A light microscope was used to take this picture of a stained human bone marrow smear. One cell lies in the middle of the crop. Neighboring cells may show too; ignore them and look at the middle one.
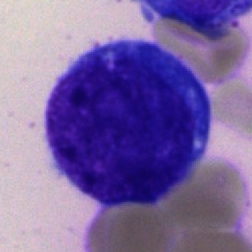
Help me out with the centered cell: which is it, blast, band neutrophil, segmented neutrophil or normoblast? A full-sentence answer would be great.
The cell positioned in the middle of the field is a blast.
